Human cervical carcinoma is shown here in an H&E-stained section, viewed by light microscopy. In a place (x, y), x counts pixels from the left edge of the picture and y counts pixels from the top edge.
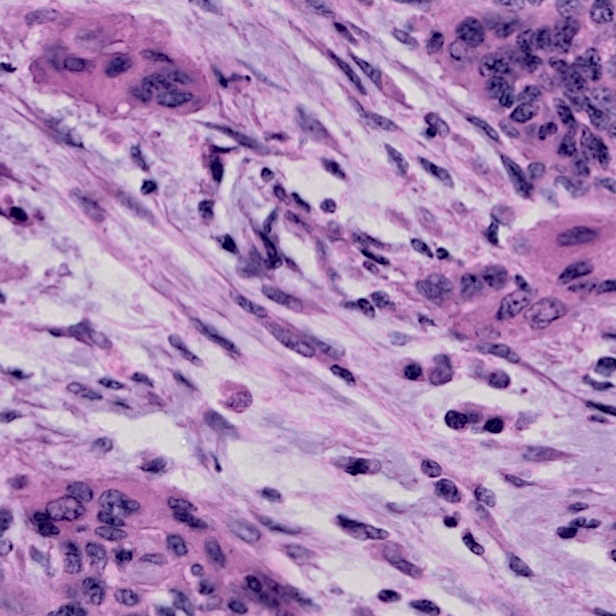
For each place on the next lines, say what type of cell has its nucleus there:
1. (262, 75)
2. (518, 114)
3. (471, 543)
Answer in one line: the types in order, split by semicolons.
fibroblast; squamous carcinoma cell; lymphocyte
